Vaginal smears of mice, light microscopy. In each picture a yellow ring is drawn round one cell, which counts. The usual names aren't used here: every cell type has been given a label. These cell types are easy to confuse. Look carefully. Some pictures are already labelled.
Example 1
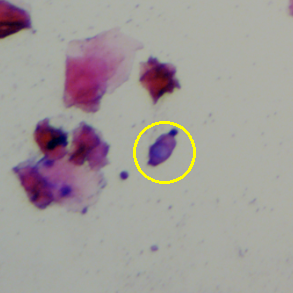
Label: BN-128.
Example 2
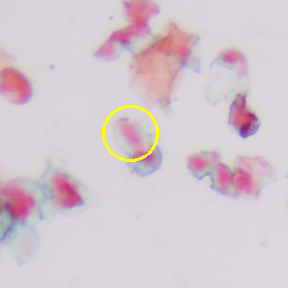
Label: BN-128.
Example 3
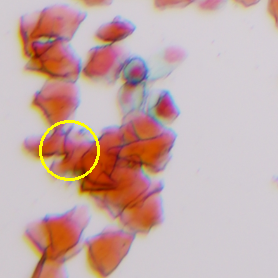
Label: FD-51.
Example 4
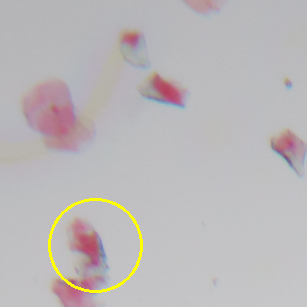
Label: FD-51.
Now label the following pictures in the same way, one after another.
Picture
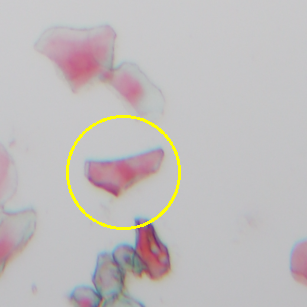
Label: FD-51.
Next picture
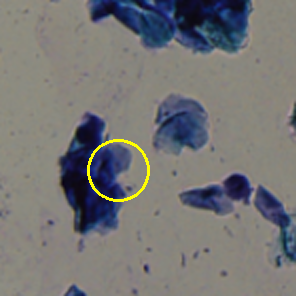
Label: FD-51.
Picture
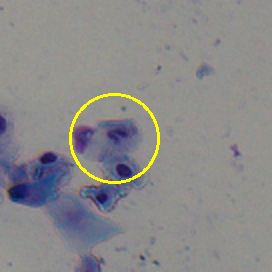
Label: BN-128.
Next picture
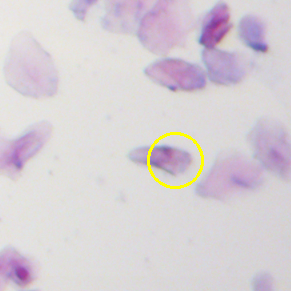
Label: FD-51.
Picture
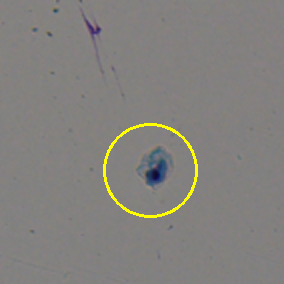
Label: BN-128.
